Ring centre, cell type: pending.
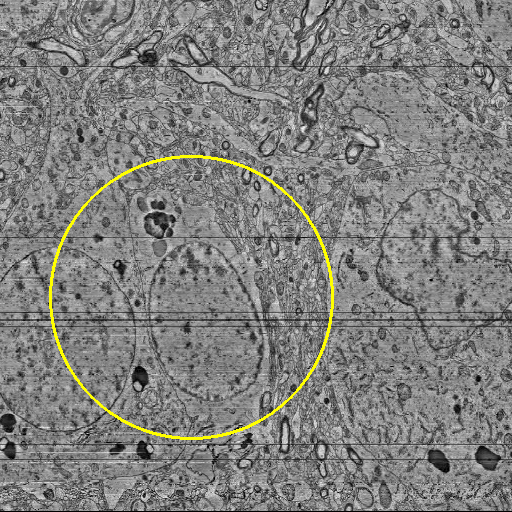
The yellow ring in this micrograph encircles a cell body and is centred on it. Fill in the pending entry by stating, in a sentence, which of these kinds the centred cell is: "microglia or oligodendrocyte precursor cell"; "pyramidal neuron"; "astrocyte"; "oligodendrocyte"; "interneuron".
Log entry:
The centred cell is recorded as an astrocyte.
